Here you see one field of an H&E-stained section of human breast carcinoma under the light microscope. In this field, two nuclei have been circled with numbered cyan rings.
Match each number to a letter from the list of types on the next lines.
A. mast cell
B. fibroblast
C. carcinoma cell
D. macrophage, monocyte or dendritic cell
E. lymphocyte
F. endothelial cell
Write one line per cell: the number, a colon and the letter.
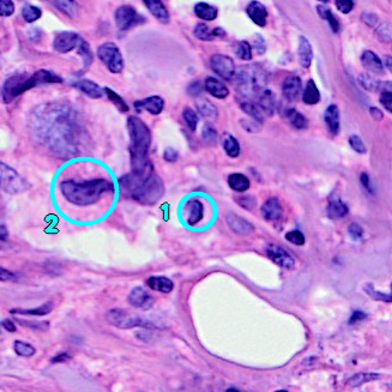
1: E
2: C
